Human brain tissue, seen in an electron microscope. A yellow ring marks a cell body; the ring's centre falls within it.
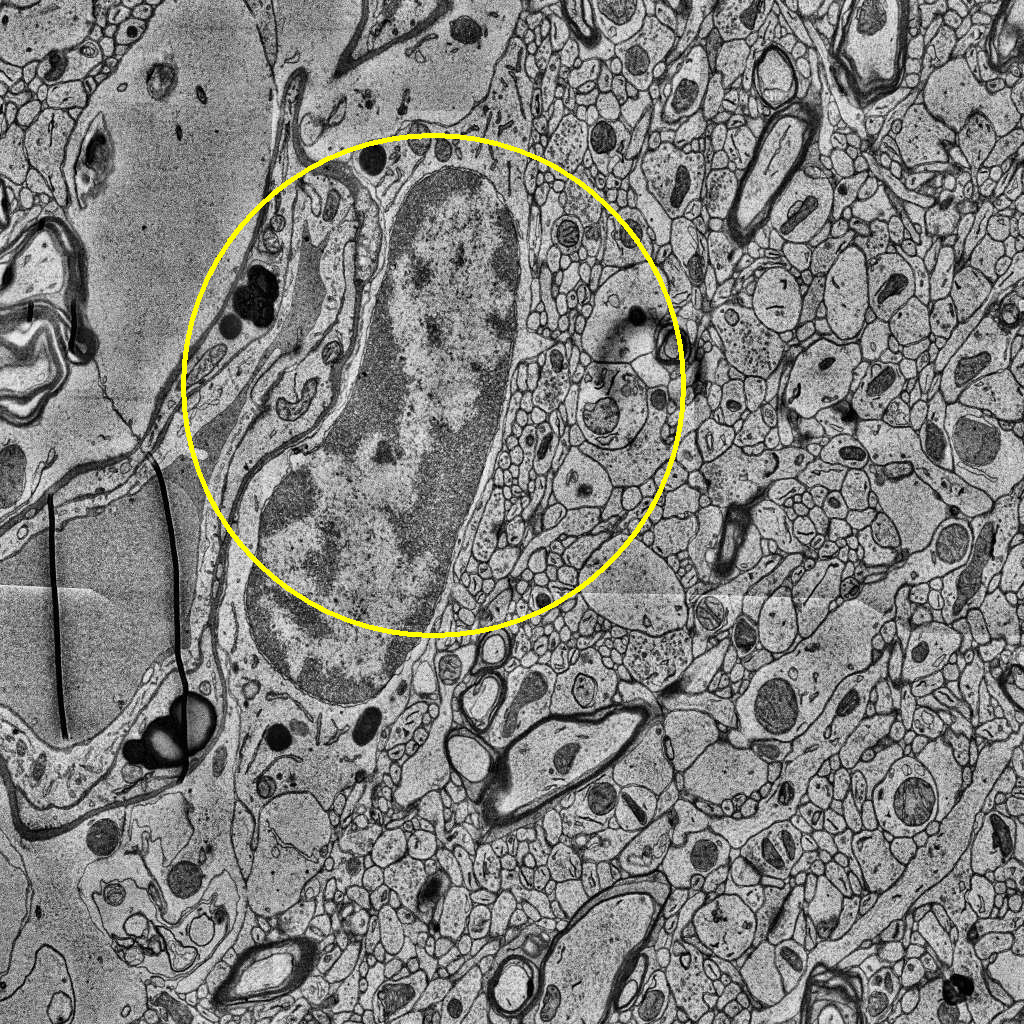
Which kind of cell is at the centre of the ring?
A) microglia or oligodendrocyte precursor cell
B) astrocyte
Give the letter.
A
